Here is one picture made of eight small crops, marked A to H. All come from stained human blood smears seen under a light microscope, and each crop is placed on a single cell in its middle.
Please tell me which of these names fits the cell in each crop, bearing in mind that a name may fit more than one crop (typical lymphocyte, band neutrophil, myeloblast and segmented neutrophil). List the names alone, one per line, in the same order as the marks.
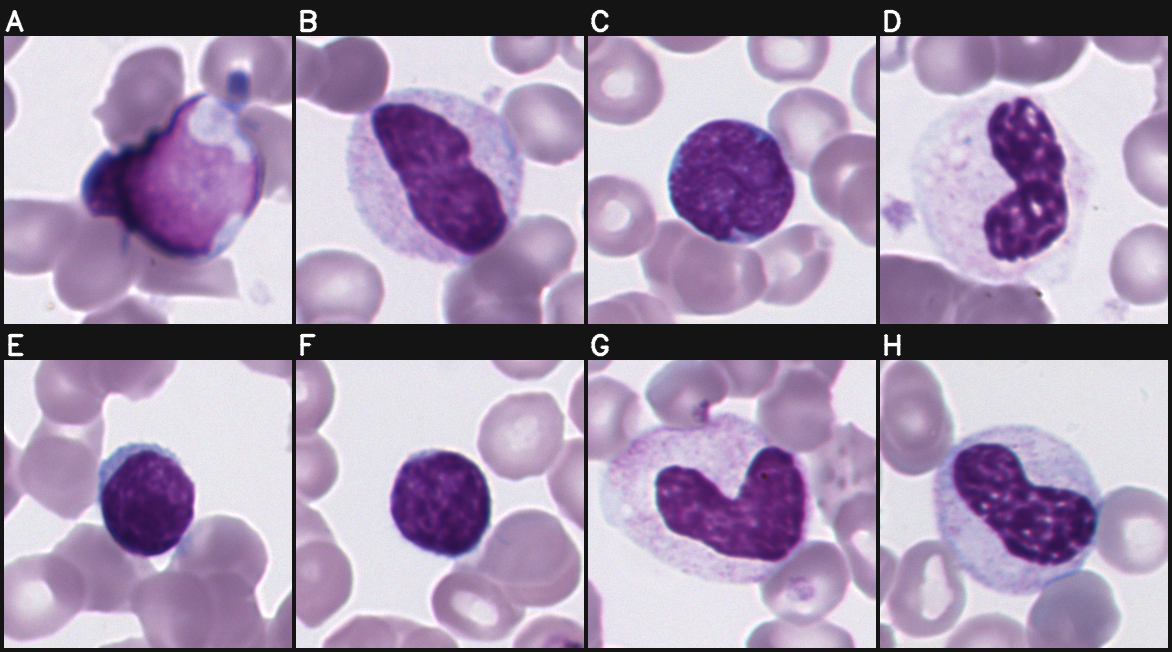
typical lymphocyte
band neutrophil
myeloblast
band neutrophil
typical lymphocyte
typical lymphocyte
band neutrophil
band neutrophil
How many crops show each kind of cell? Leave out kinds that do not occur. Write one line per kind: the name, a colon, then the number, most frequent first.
band neutrophil: 4
typical lymphocyte: 3
myeloblast: 1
